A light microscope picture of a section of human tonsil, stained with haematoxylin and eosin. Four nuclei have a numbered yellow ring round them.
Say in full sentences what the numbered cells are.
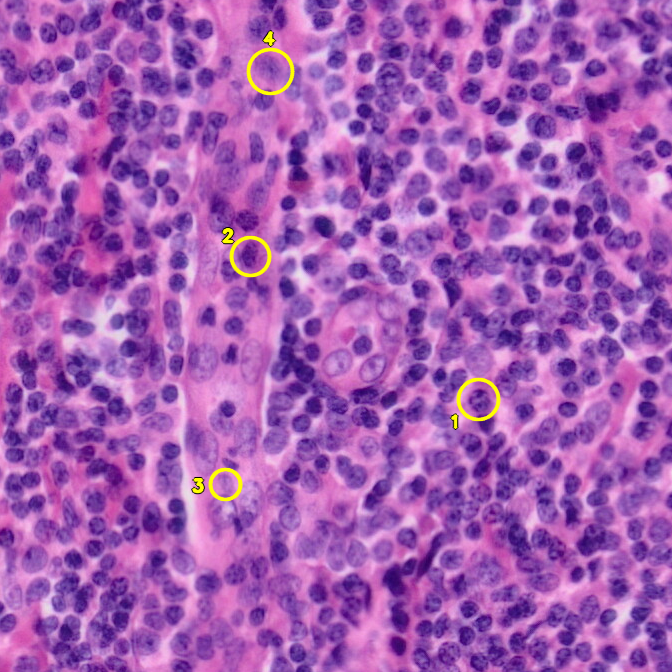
Cell 1 is a plasma cell, cell 2 is an endothelial cell, cell 3 is an endothelial cell and cell 4 is an endothelial cell.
